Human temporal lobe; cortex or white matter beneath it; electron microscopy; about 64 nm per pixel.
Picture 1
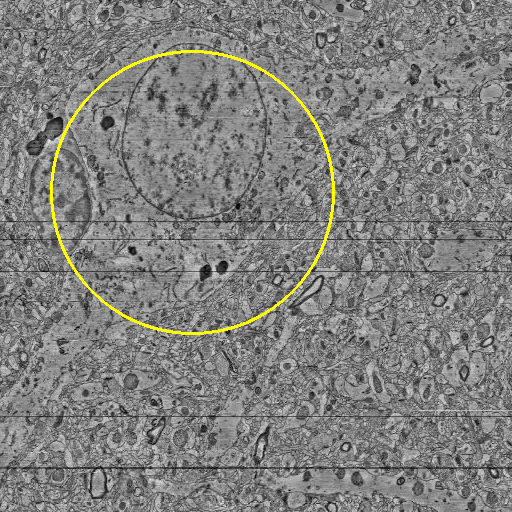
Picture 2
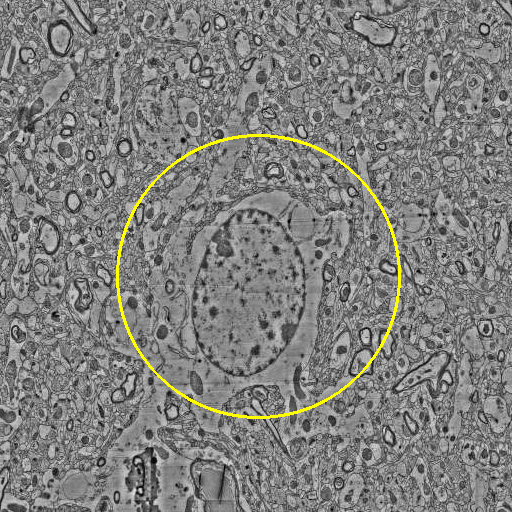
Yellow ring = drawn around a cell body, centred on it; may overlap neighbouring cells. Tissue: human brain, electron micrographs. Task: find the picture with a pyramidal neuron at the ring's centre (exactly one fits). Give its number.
1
